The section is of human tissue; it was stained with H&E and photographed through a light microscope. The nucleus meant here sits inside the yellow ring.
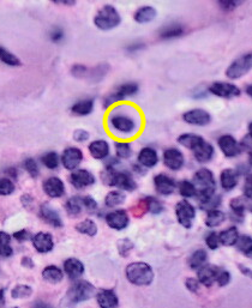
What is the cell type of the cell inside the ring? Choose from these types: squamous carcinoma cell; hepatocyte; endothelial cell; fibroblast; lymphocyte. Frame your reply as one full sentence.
To be brief about it, the cell inside the ring is a lymphocyte.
